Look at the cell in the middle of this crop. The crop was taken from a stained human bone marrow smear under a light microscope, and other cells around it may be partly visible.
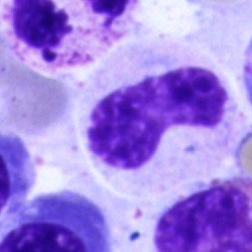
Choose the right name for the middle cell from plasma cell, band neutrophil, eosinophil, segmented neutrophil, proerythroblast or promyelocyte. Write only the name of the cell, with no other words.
band neutrophil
